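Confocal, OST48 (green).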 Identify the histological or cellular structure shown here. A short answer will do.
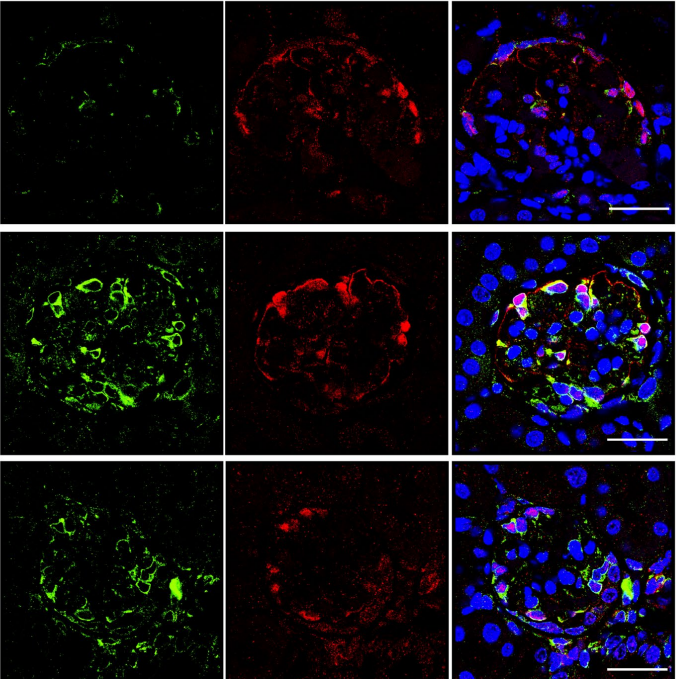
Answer: Glomerulus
